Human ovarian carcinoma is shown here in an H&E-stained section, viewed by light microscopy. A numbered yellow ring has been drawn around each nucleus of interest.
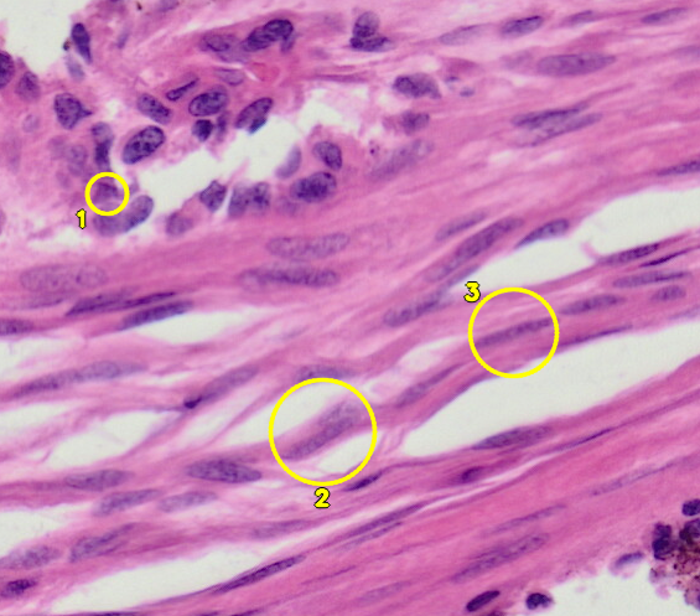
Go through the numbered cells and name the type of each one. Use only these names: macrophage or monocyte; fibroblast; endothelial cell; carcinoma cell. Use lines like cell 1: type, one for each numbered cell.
cell 1: carcinoma cell
cell 2: fibroblast
cell 3: fibroblast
